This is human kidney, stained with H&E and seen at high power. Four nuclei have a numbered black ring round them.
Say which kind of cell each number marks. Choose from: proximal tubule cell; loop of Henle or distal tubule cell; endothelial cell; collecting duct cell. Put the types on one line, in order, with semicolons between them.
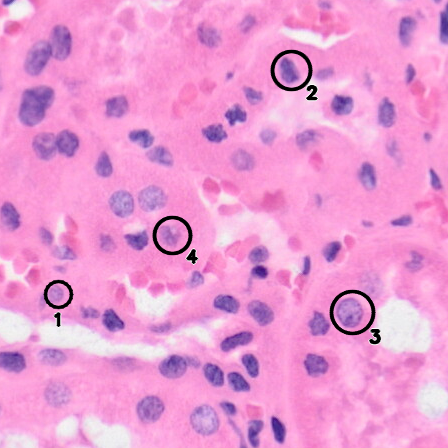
collecting duct cell; loop of Henle or distal tubule cell; proximal tubule cell; loop of Henle or distal tubule cell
